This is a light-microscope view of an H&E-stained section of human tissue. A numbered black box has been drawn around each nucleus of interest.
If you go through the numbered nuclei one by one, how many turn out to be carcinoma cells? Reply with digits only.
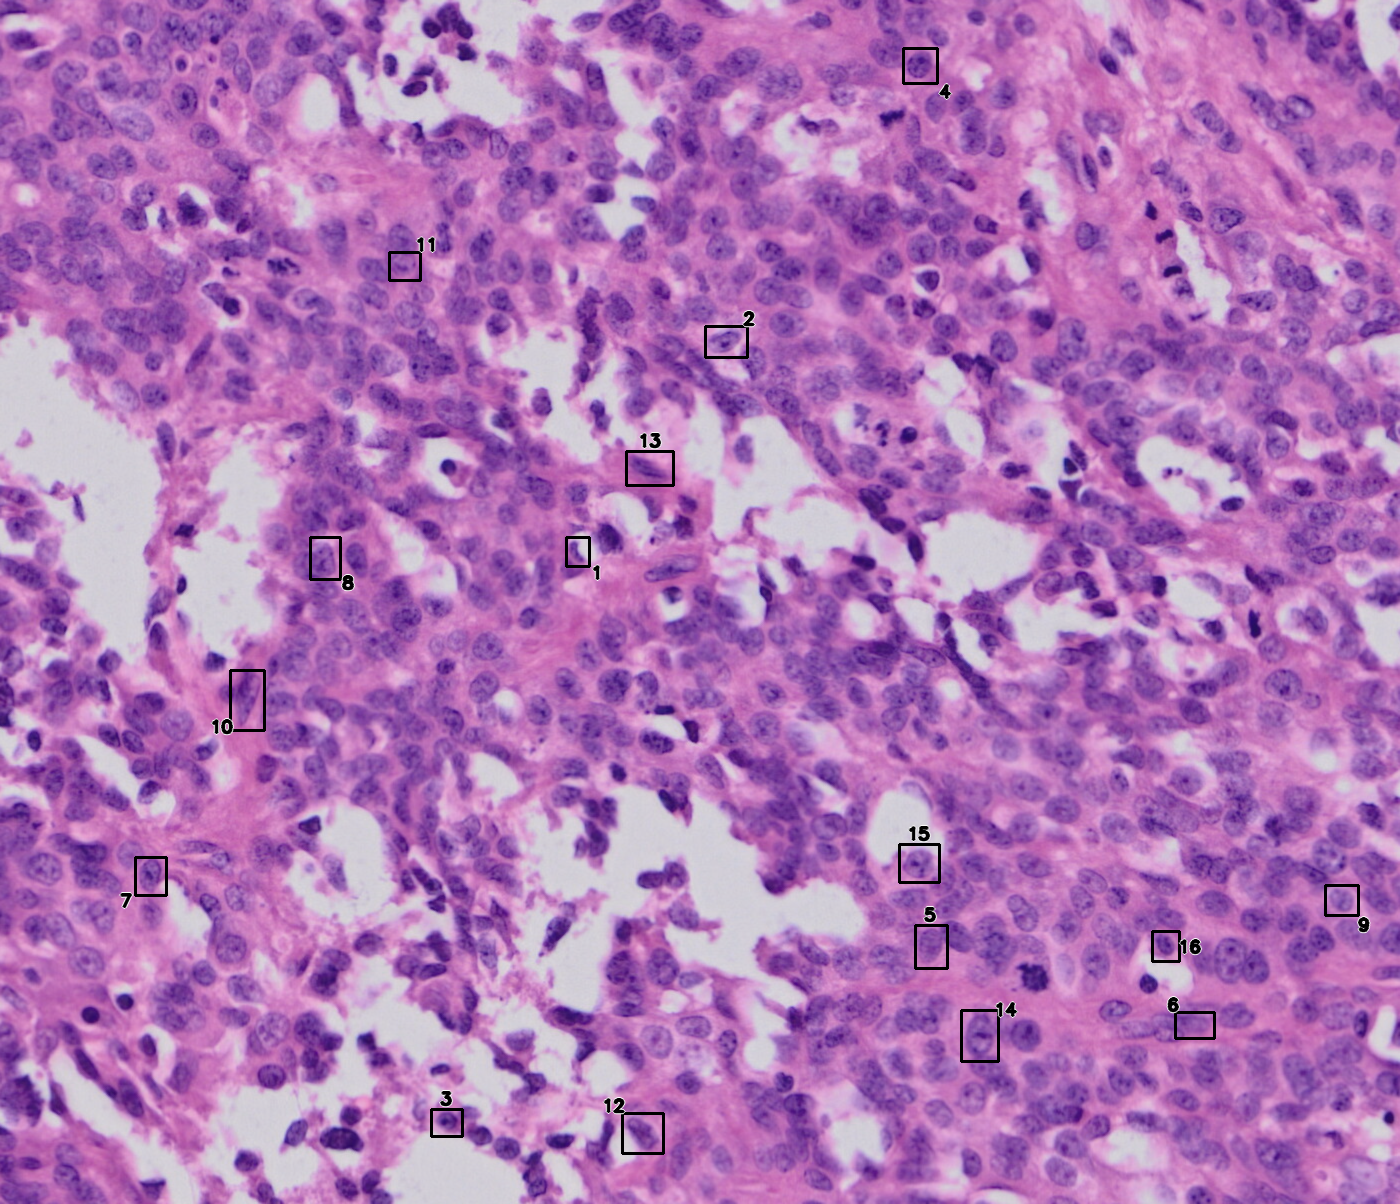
4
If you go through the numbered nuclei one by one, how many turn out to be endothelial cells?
3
